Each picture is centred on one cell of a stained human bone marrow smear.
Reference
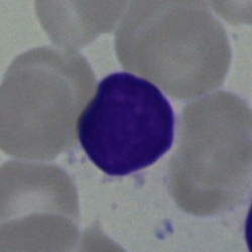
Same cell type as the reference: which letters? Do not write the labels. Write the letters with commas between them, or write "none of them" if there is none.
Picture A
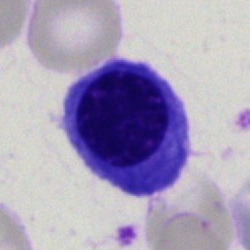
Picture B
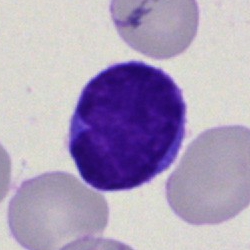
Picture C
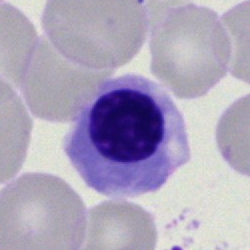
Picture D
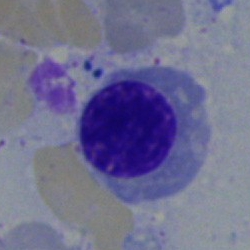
B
